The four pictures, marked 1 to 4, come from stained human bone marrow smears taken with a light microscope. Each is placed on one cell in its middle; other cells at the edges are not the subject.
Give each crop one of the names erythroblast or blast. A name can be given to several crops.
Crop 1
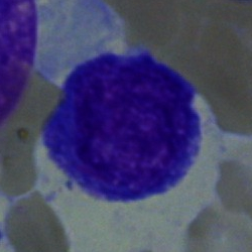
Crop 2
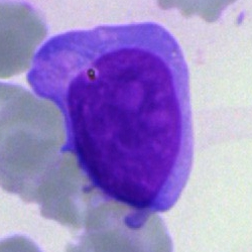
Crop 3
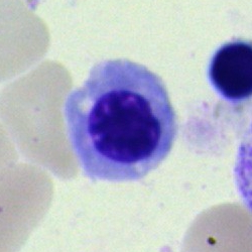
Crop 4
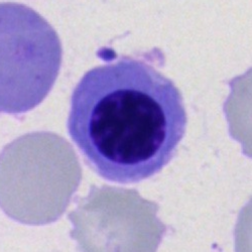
1: blast
2: blast
3: erythroblast
4: erythroblast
